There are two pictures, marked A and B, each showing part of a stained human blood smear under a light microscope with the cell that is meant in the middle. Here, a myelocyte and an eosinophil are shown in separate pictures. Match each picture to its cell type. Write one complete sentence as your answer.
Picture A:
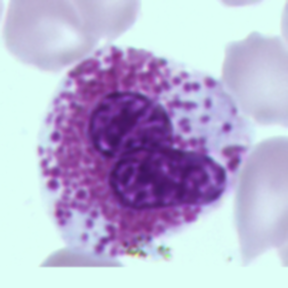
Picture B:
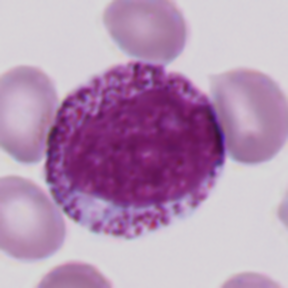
Picture B shows a myelocyte, while picture A shows an eosinophil.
